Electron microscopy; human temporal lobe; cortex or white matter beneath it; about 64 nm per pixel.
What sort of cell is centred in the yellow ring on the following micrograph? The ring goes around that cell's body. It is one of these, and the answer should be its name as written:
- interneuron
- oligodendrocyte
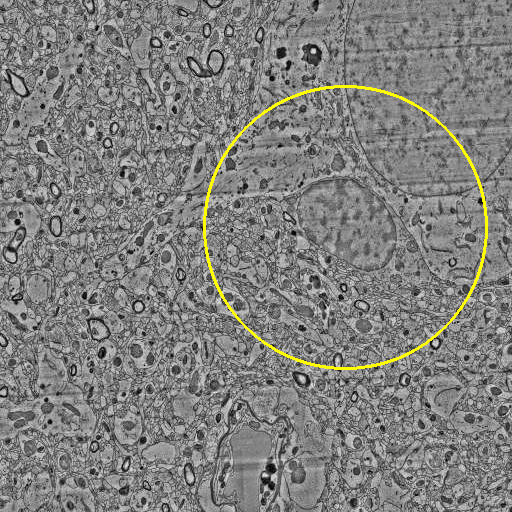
oligodendrocyte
